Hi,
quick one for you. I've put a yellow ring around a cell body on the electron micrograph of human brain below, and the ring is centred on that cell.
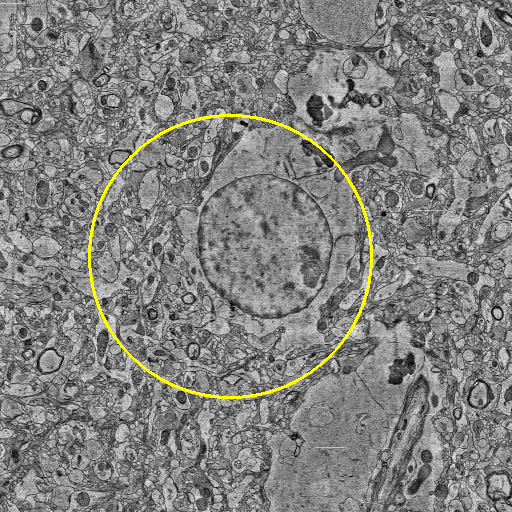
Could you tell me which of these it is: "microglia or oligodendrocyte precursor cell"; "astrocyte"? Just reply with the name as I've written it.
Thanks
astrocyte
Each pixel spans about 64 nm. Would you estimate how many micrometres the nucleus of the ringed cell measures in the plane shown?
Roughly 9 micrometres across, measured in this plane.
